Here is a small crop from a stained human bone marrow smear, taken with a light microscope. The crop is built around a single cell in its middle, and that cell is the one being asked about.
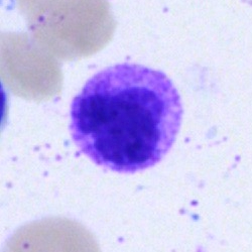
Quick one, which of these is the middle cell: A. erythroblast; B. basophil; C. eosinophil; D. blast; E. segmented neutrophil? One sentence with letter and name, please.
Option B gets it right: the cell in the middle is a basophil.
